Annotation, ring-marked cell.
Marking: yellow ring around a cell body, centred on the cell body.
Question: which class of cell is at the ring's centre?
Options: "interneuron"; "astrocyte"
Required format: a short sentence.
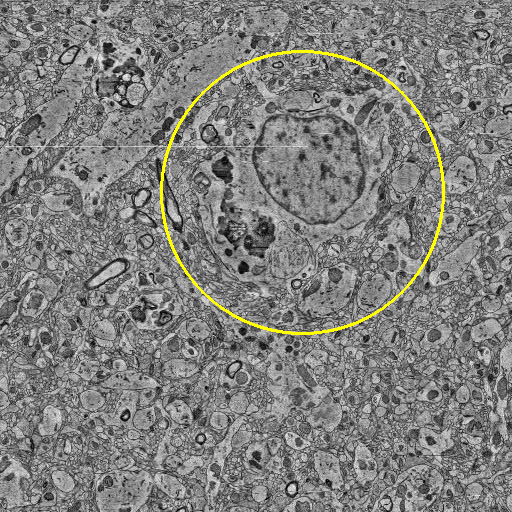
At the ring's centre is an astrocyte.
